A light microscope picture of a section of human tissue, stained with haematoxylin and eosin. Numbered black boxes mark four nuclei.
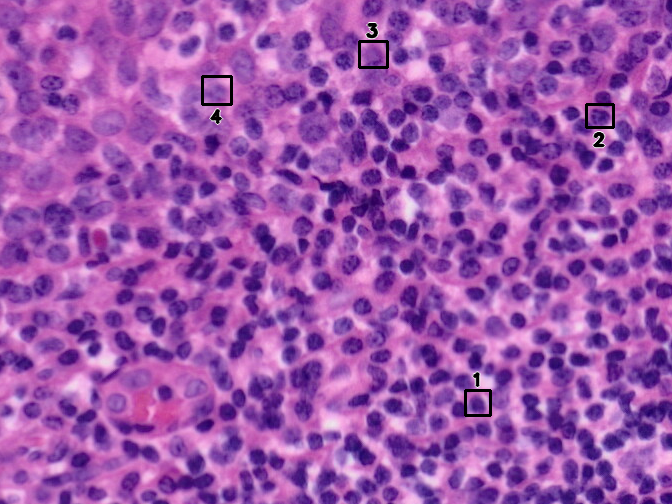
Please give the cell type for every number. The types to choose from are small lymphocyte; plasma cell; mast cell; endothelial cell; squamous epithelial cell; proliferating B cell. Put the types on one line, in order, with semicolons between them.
small lymphocyte; plasma cell; plasma cell; squamous epithelial cell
